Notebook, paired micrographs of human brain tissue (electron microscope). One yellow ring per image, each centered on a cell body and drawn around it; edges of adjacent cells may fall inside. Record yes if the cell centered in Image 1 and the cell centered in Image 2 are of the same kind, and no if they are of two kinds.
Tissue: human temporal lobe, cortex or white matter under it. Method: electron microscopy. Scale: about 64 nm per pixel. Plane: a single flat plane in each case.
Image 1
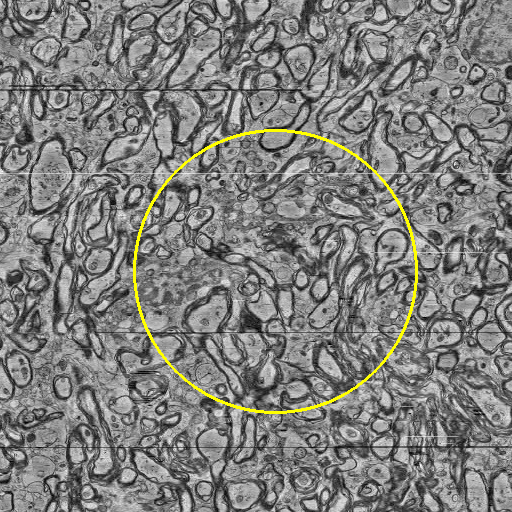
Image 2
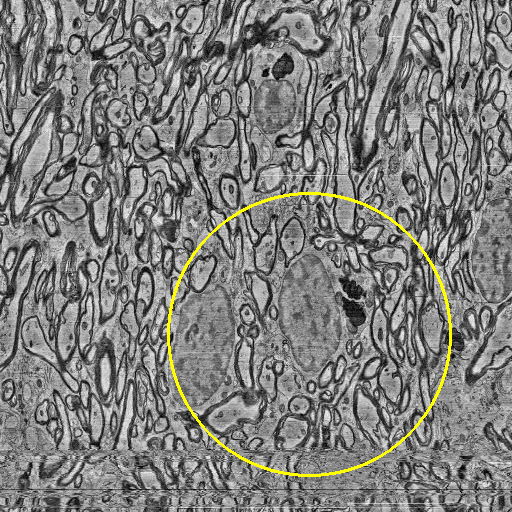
no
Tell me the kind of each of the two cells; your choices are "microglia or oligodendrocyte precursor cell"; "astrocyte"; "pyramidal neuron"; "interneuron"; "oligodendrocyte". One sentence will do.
The ringed cell is an astrocyte in the first picture and an oligodendrocyte in the second picture.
